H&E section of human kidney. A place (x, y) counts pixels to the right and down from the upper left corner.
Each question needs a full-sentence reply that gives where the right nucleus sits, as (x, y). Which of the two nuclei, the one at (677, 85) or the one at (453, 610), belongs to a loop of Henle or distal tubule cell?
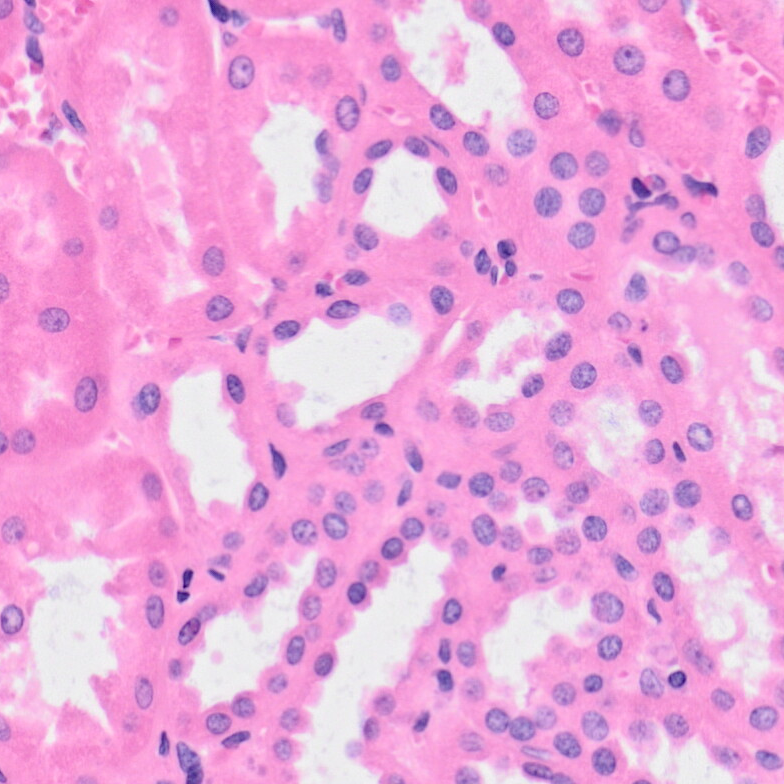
It is the nucleus at (453, 610) that forms part of a loop of Henle or distal tubule cell.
